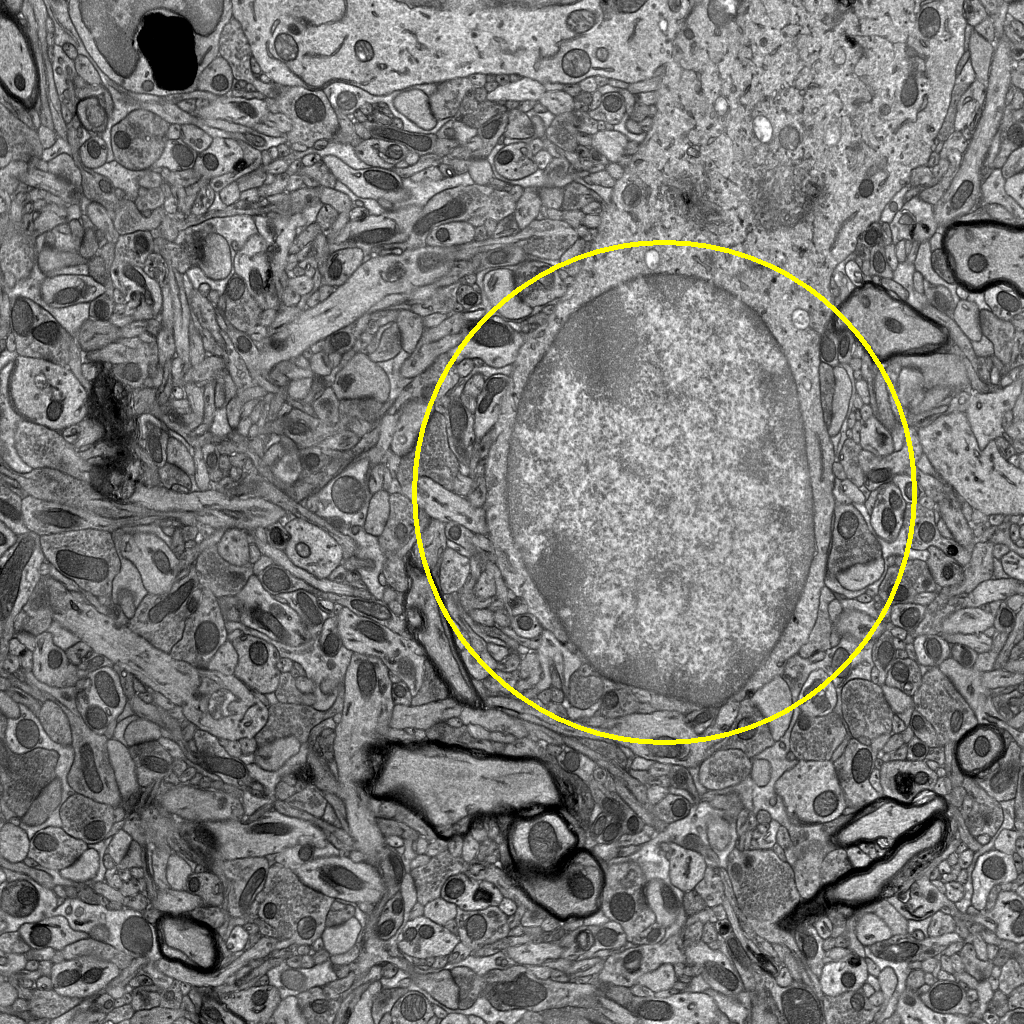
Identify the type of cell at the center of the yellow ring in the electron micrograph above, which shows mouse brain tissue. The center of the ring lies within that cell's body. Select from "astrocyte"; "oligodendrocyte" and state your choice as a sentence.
The center of the yellow ring lies in the body of an oligodendrocyte.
